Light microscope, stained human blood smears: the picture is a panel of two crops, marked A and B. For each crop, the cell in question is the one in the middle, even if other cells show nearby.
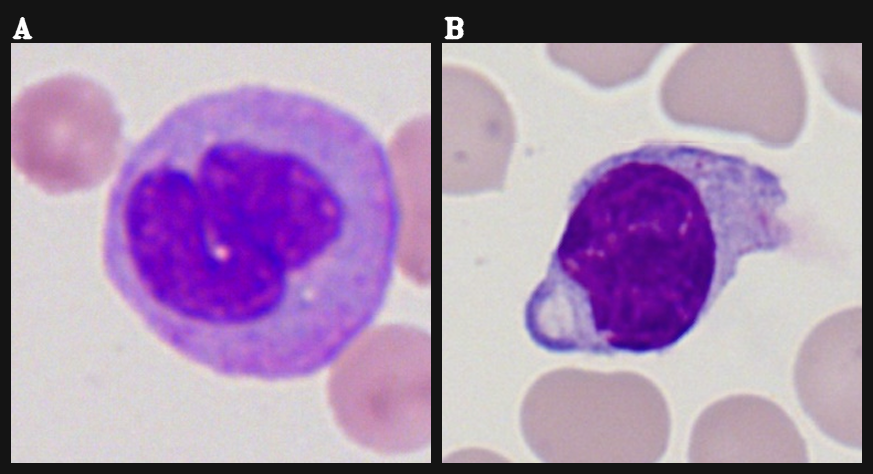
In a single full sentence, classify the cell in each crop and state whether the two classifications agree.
No, in this case crop A shows a monocyte, and crop B shows a lymphocyte.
